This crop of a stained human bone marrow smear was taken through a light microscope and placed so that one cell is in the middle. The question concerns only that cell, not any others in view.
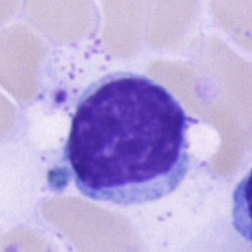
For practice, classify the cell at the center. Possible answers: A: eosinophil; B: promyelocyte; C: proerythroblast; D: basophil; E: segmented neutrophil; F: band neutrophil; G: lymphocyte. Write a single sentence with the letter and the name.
Option G is correct, naming the cell in the middle as a lymphocyte.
